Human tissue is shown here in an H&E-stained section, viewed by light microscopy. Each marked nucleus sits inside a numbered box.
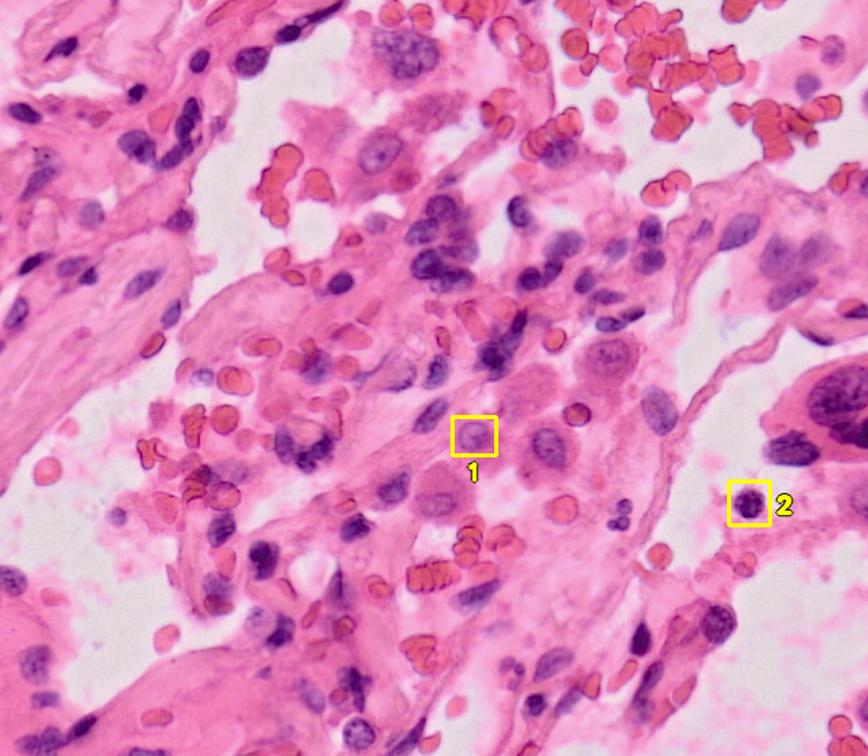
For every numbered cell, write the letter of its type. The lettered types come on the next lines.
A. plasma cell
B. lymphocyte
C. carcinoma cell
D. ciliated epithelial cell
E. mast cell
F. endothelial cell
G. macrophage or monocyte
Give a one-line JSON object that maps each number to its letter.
{"1": "G", "2": "B"}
